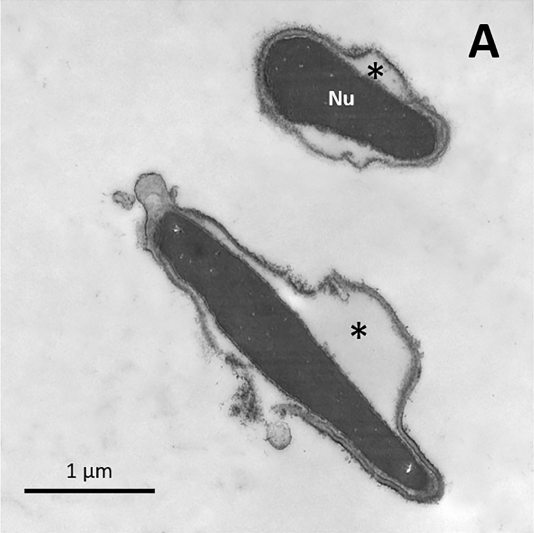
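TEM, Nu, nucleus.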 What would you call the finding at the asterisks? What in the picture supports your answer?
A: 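Plasma membrane and acrosome detachment. The outer membranes are lifted away from the dark nucleus, leaving a pale space where the asterisks stand. The membrane contour bulges loosely away from one side of each head.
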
